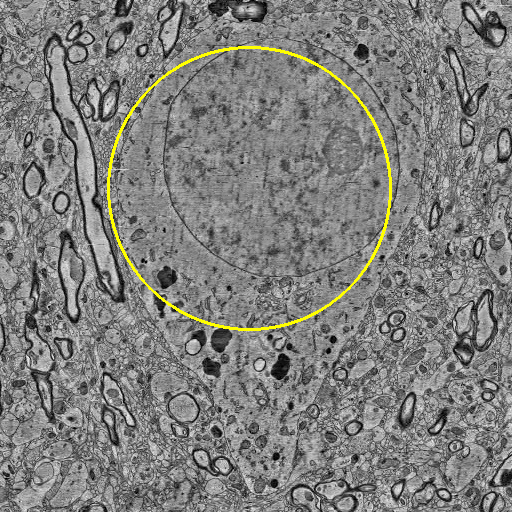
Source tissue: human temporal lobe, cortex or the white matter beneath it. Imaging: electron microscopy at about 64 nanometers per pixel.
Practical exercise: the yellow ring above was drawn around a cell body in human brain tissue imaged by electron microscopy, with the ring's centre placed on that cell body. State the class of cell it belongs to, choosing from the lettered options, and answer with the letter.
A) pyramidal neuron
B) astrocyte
A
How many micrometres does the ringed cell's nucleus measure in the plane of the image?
About 16 micrometres across in this plane.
